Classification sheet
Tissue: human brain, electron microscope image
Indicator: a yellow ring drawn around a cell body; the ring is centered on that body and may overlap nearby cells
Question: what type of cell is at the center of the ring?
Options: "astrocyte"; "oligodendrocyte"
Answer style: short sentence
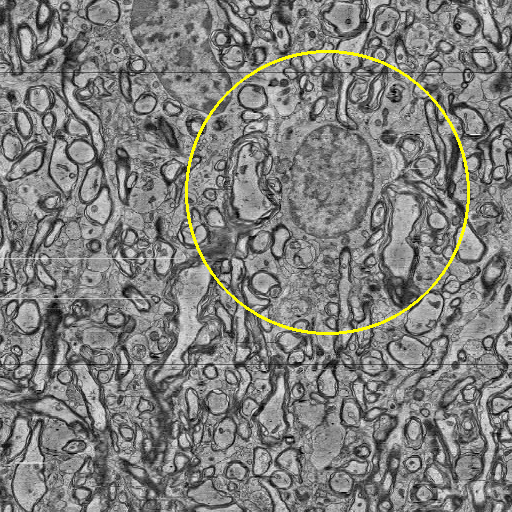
At the ring's center is an oligodendrocyte.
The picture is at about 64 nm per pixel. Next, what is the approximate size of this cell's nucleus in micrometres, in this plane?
The nucleus has a long axis of about 8 micrometres and a short axis of about 6 micrometres in this plane.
